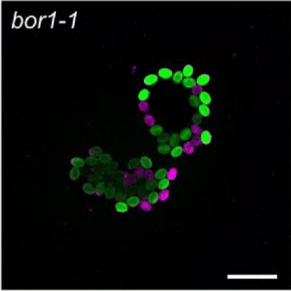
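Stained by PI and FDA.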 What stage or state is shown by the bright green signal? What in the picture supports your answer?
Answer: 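Many oval grains are filled with bright green fluorescence. These grains lie beside grains filled with magenta.
Conclusion: alive pollen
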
